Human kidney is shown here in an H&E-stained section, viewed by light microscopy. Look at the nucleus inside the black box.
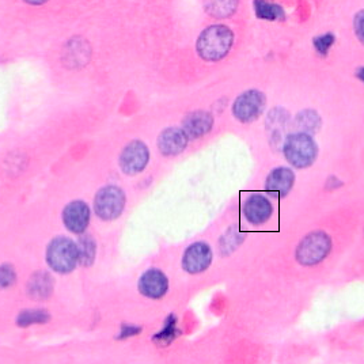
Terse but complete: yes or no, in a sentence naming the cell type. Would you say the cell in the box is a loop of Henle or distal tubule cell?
No, not quite: the cell in the box is a collecting duct cell rather than a loop of Henle or distal tubule cell.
